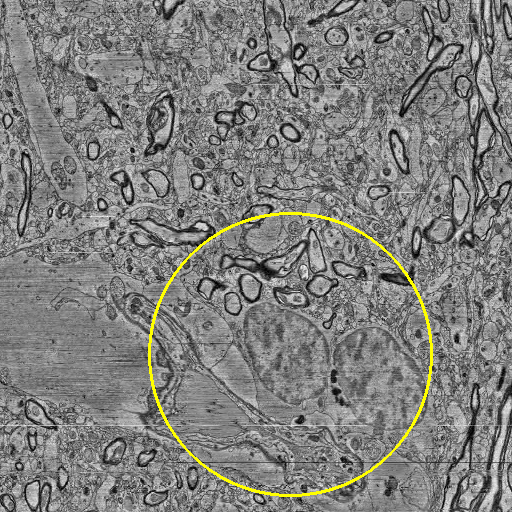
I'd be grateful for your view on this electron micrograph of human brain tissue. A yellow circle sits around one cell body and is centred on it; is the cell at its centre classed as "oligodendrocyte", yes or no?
yes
